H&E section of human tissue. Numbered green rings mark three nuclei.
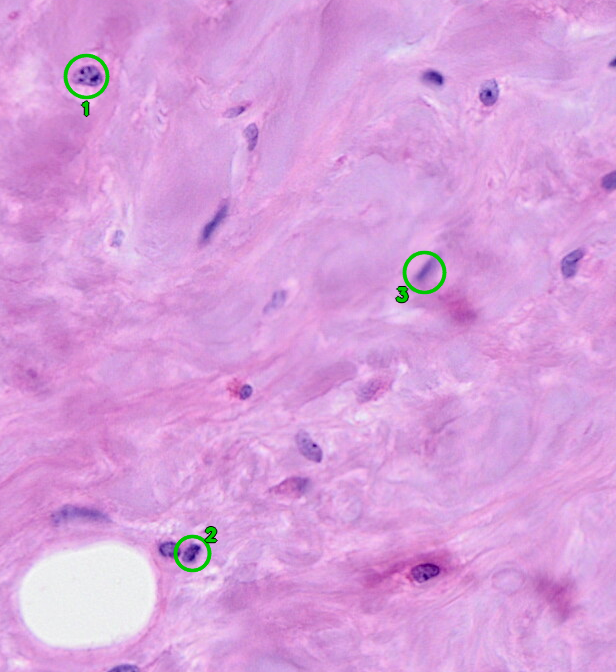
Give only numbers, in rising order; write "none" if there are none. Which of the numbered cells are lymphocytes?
2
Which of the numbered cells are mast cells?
1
